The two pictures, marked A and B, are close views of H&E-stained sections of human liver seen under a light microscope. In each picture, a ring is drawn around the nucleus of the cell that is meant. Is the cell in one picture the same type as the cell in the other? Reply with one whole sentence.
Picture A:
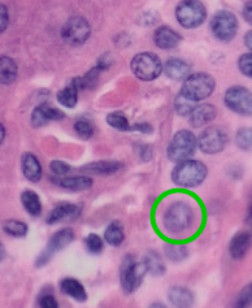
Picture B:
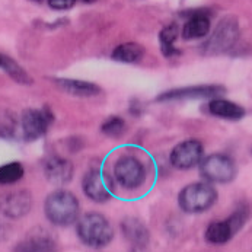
Yes, they are the same type: both are cholangiocytes.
